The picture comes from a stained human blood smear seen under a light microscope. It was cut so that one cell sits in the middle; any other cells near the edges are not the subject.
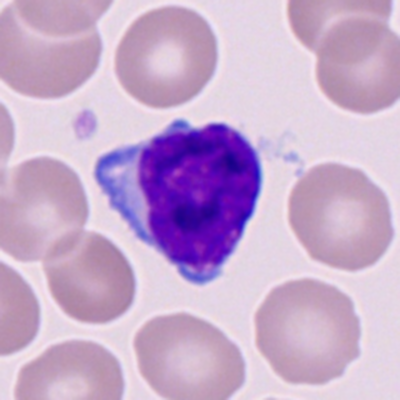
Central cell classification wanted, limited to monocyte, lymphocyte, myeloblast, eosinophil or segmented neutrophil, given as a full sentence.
Located at the centre of the crop is a lymphocyte.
